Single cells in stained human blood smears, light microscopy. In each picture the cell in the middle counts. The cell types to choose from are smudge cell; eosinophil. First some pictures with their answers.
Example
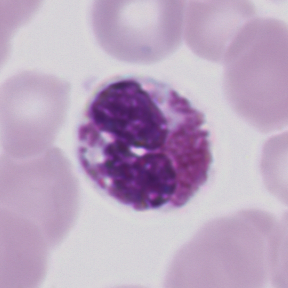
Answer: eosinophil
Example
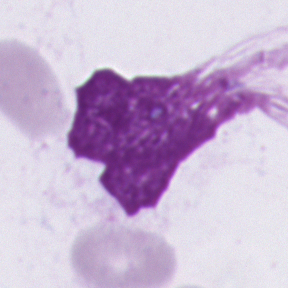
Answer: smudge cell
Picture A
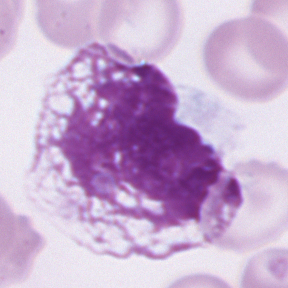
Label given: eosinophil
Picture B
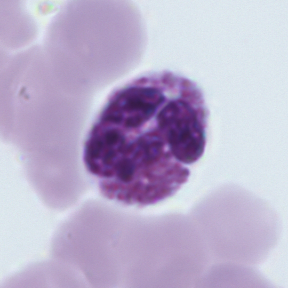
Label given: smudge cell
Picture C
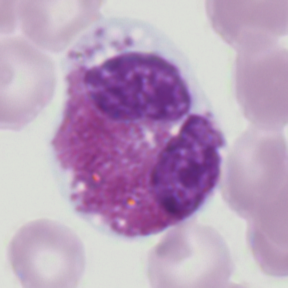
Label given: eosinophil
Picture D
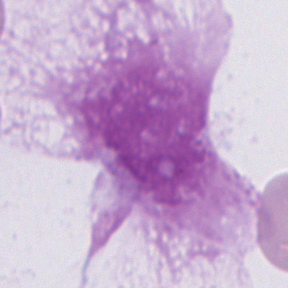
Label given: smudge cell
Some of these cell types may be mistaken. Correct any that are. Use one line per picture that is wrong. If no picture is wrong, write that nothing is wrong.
A: not eosinophil but smudge cell
B: not smudge cell but eosinophil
